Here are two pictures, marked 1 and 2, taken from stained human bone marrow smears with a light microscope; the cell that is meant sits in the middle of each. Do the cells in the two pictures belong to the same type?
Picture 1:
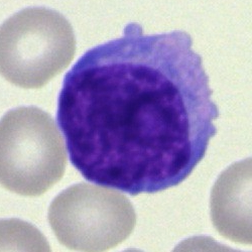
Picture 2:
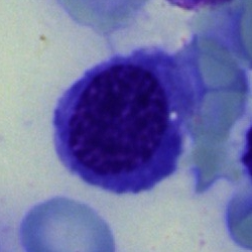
no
